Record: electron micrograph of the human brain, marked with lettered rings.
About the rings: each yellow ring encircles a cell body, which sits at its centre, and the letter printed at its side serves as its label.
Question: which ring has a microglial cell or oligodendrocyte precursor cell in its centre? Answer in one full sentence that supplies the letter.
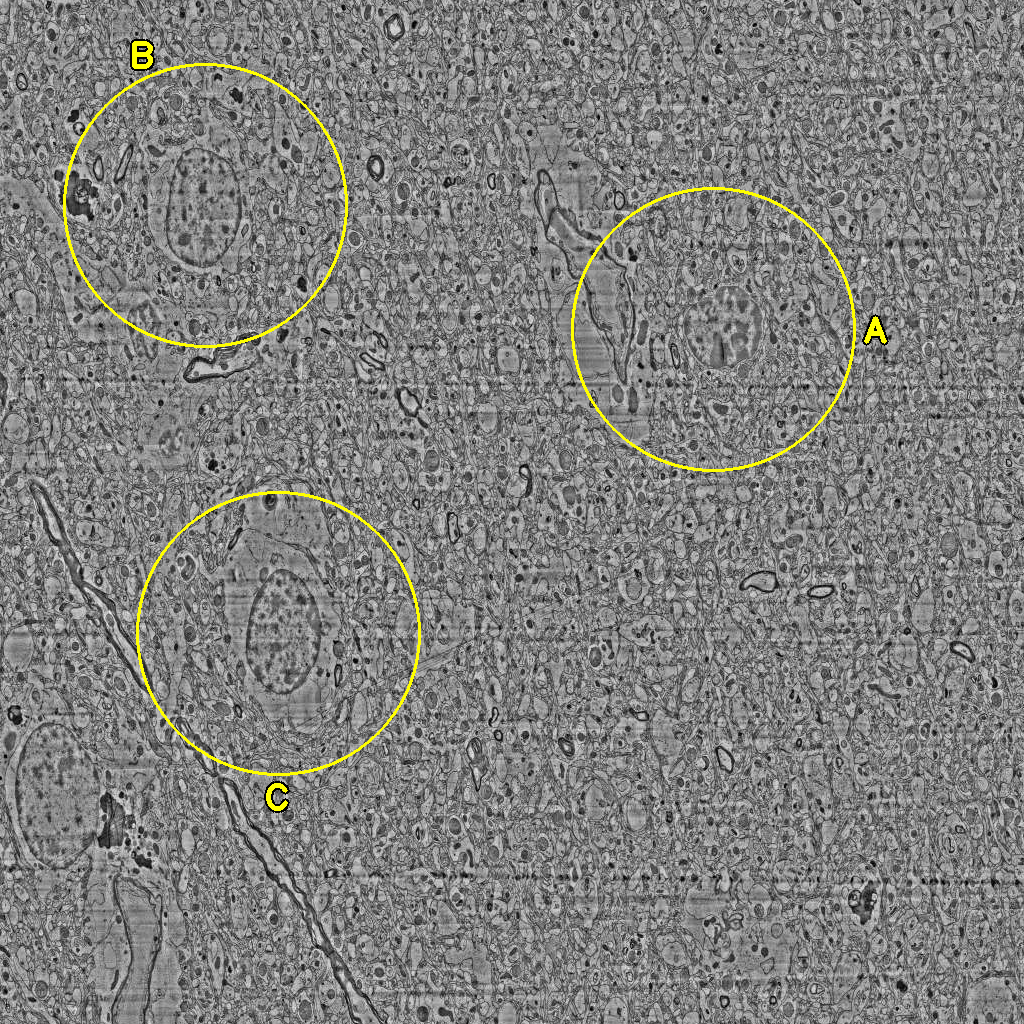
Within the picture, a cell of that kind is centred inside the ring marked A.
